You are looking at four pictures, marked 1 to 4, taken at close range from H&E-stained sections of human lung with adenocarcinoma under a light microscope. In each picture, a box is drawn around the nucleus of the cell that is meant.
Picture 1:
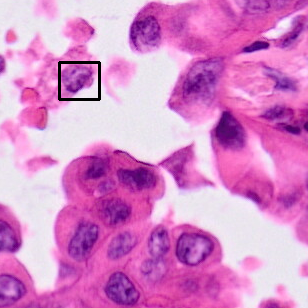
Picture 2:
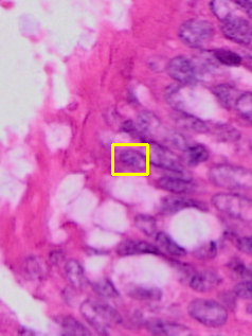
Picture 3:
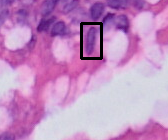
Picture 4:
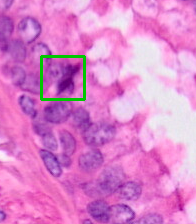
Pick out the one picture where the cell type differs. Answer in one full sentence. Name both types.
Picture 1 is the odd one out: it shows a “macrophage or monocyte”, while the others show ciliated epithelial cells.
